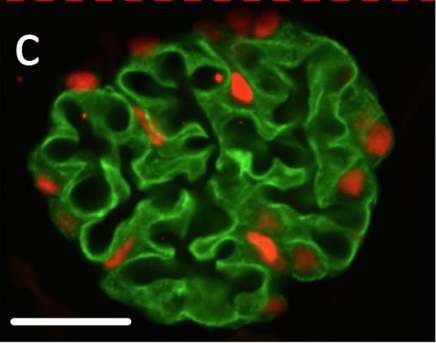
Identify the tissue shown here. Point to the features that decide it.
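A round structure made of many folded, looping green-walled channels. Red nuclei lie along the outside of the loops, many at the rim. That points to this answer: glomerulus.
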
